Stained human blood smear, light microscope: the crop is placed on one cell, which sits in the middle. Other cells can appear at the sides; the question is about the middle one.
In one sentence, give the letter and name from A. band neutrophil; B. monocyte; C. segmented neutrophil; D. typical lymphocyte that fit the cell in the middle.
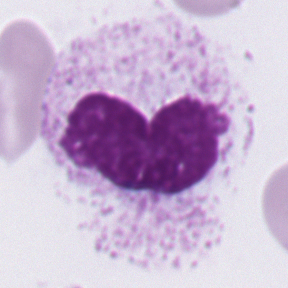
The cell centred in the crop is a band neutrophil, and the correct option is thus A.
